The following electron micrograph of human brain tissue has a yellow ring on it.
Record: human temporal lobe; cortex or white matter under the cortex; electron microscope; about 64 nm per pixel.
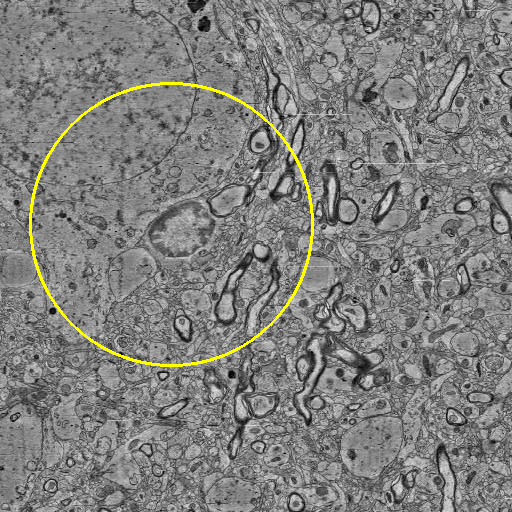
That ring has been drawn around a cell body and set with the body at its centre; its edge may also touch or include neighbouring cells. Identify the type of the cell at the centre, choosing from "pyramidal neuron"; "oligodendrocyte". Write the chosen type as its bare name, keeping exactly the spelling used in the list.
oligodendrocyte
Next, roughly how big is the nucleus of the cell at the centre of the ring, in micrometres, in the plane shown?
Roughly 4 by 3 micrometres is the size of the nucleus in this plane.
